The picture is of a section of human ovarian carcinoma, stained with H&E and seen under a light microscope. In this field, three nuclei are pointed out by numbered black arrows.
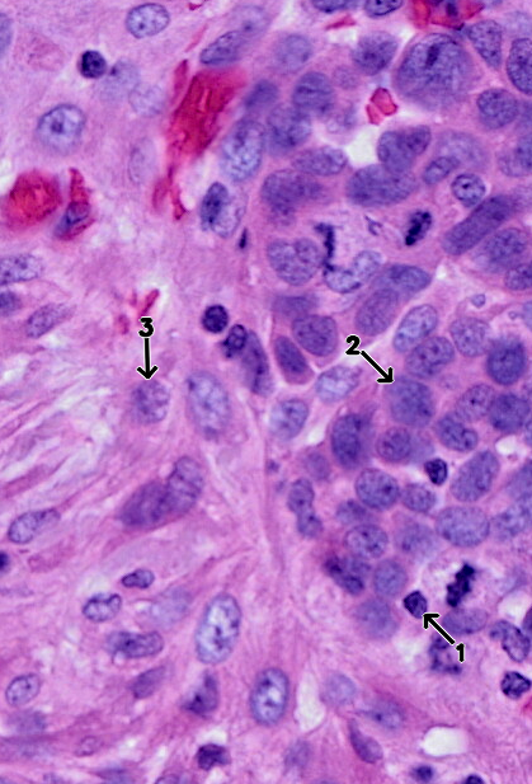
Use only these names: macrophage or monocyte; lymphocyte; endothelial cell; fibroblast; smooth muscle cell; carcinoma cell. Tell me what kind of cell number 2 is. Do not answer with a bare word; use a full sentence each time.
The cell indicated by marker 2 is a carcinoma cell in this section.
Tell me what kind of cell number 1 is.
The cell that carries the label 1 is a lymphocyte.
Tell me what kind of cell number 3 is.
As for number 3, that cell is a fibroblast.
